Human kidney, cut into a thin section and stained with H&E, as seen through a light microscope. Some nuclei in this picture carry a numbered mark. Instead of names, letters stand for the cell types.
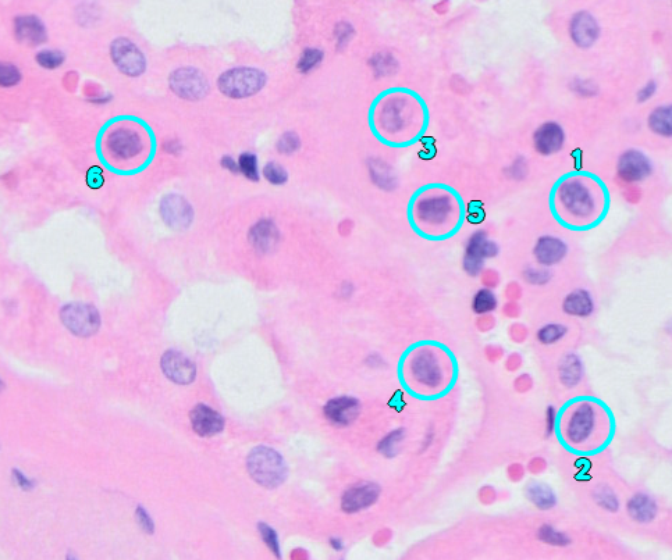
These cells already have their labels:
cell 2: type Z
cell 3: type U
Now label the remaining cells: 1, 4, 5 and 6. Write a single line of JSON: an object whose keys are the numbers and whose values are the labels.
{"1": "type Z", "4": "type U", "5": "type U", "6": "type U"}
